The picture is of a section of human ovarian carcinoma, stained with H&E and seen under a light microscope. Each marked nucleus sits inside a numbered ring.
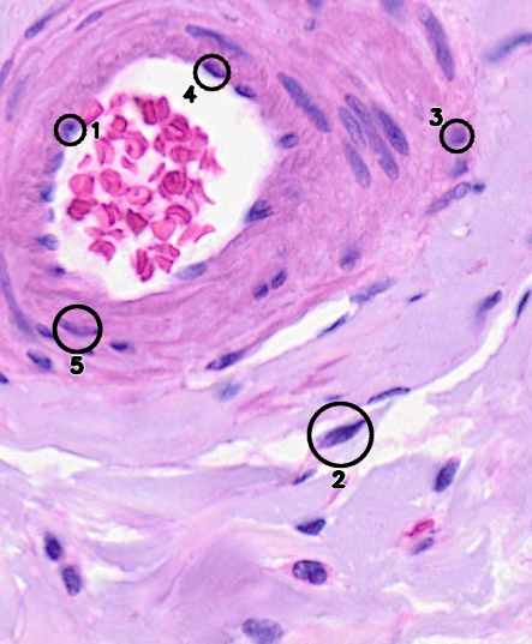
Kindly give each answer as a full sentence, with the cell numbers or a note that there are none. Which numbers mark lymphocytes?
To be brief, no numbered cell here counts among the lymphocytes.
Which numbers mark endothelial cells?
Marked by the numbers 1 and 4 are cells that are endothelial cells.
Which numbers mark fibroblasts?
Cell 2 is a fibroblast, while all remaining marked cells are of other types.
